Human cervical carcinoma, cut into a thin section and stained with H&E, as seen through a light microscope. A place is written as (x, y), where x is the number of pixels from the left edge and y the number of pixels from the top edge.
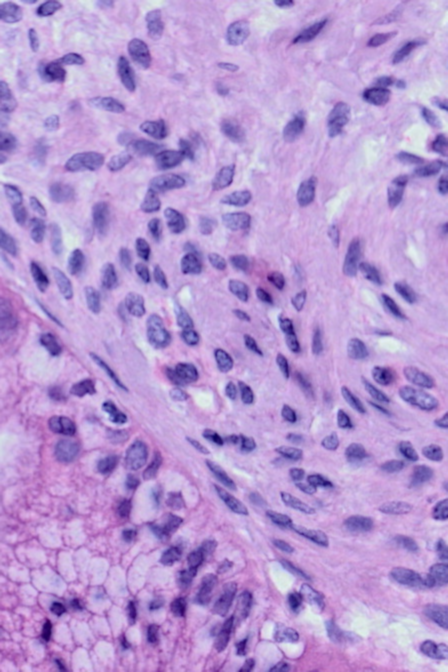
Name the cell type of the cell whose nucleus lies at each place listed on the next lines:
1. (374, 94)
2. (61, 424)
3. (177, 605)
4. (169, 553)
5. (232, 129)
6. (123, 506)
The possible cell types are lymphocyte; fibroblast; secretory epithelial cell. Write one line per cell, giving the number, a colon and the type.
1: fibroblast
2: secretory epithelial cell
3: secretory epithelial cell
4: secretory epithelial cell
5: fibroblast
6: secretory epithelial cell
